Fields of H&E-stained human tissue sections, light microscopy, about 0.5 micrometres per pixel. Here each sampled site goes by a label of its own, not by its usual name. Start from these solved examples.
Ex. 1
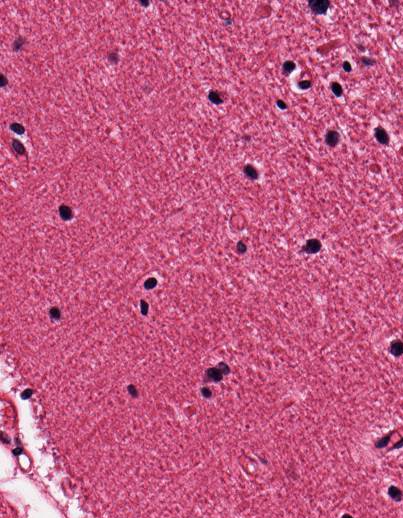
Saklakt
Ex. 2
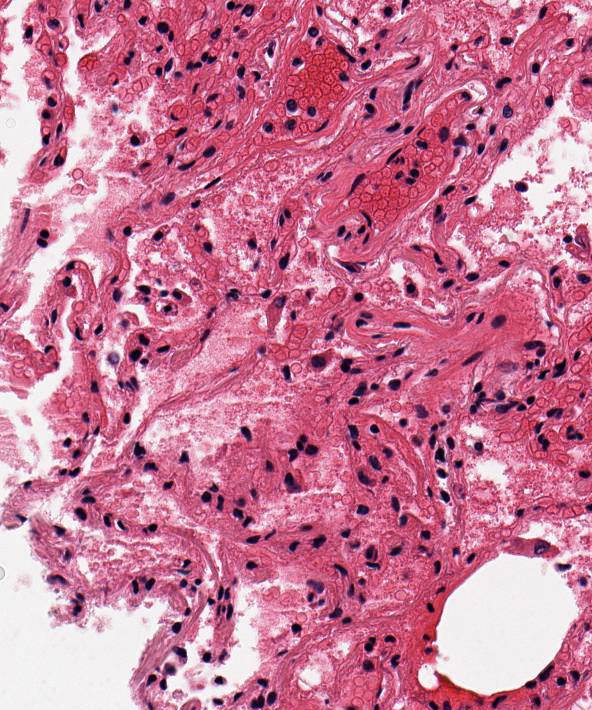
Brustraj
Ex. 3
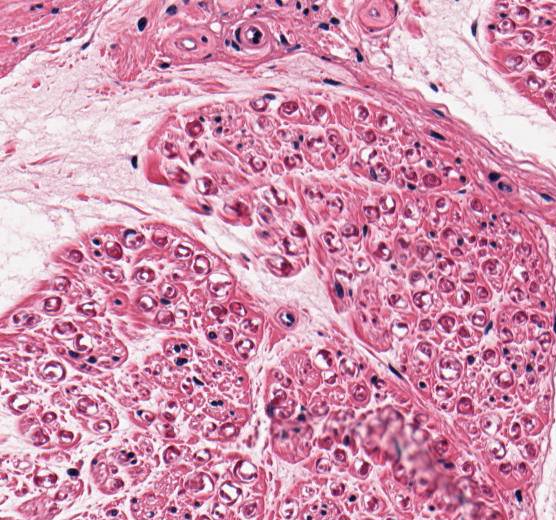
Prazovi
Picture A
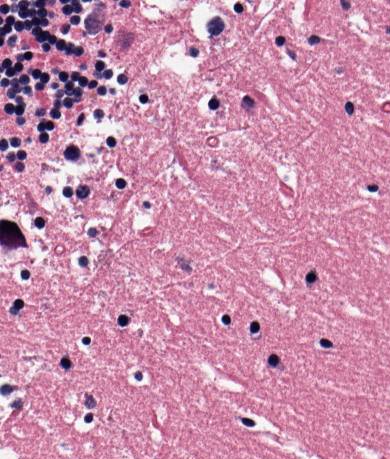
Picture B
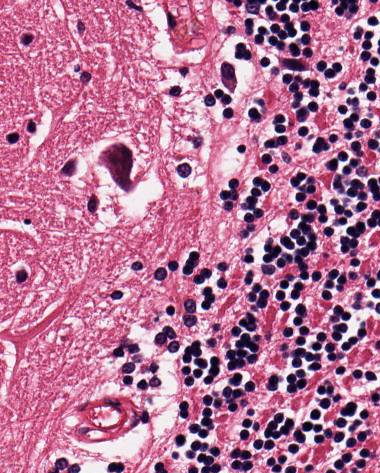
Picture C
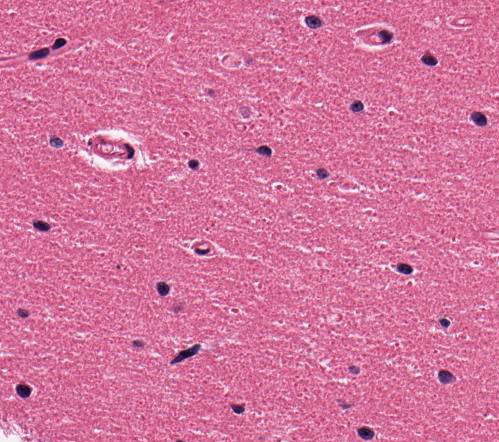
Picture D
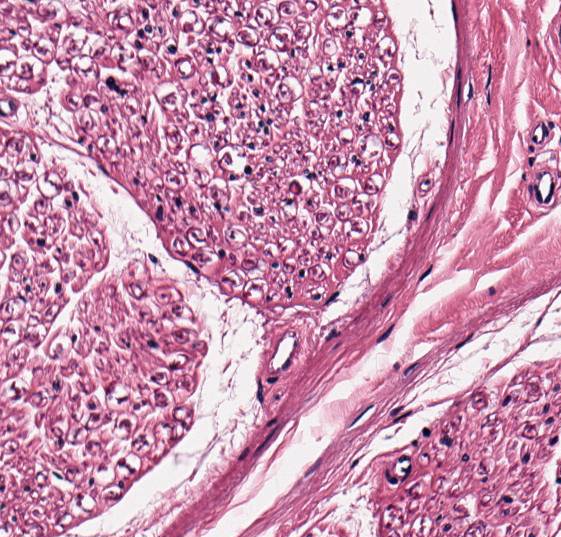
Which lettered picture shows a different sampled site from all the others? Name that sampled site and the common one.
Different: D, Prazovi. Others: Saklakt.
